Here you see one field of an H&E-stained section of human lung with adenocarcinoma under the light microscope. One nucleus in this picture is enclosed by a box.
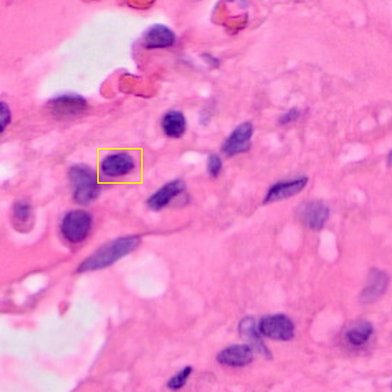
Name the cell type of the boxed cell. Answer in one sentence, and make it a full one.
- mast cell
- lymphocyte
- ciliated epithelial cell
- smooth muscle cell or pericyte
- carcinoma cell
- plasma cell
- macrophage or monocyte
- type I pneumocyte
To be brief about it, the boxed cell is a mast cell.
